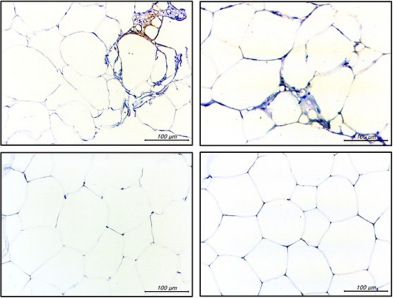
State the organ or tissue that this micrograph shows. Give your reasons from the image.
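Large, empty, polygonal cells packed side by side. Each cell is bounded only by a thin membrane rim. Nuclei are few, small and flattened at the cell edges. On this evidence: adipose tissues.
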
